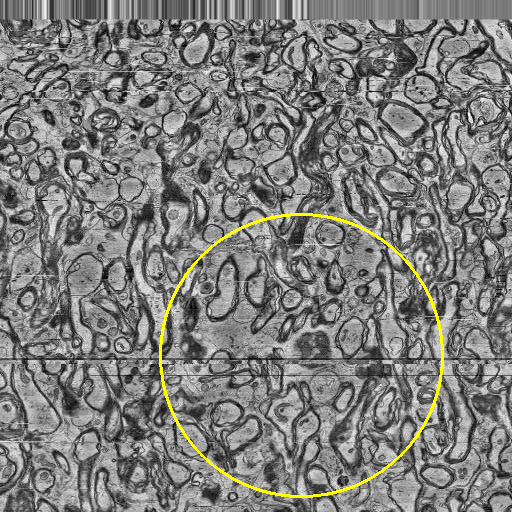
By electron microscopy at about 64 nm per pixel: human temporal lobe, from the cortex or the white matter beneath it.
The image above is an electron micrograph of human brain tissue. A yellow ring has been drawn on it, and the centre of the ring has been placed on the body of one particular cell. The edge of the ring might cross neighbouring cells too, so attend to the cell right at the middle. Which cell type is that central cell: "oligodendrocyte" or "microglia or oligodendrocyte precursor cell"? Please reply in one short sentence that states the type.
The central cell in the ring is a microglial cell or oligodendrocyte precursor cell.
